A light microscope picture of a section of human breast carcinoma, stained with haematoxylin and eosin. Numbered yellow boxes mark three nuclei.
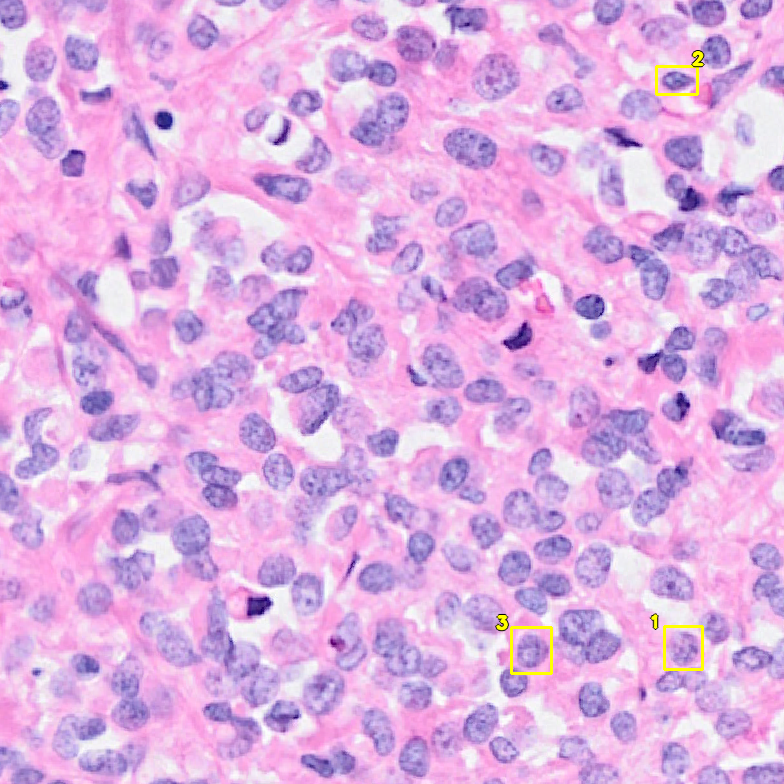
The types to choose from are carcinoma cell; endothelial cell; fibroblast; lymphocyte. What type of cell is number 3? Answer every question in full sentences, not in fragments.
Cell number 3 in this section is a carcinoma cell.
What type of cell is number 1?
The numbered cell 1 is identified here as a carcinoma cell.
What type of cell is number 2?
Cell 2, among those numbered, is an endothelial cell.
